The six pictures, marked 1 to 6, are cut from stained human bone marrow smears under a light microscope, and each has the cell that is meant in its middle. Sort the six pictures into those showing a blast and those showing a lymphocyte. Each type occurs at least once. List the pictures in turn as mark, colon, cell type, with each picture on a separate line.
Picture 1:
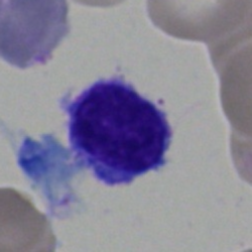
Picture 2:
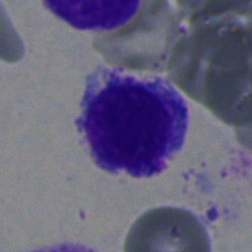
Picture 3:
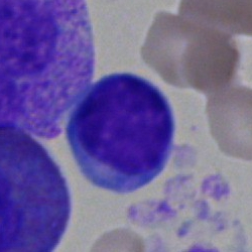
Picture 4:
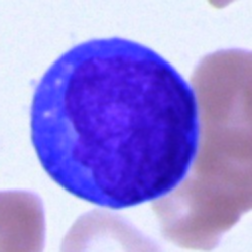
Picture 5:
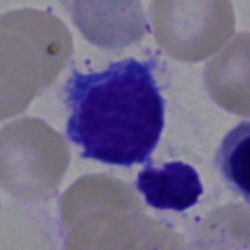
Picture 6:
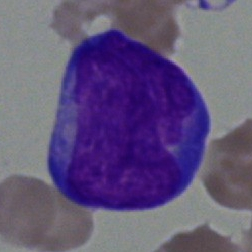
1: lymphocyte
2: lymphocyte
3: lymphocyte
4: blast
5: lymphocyte
6: blast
